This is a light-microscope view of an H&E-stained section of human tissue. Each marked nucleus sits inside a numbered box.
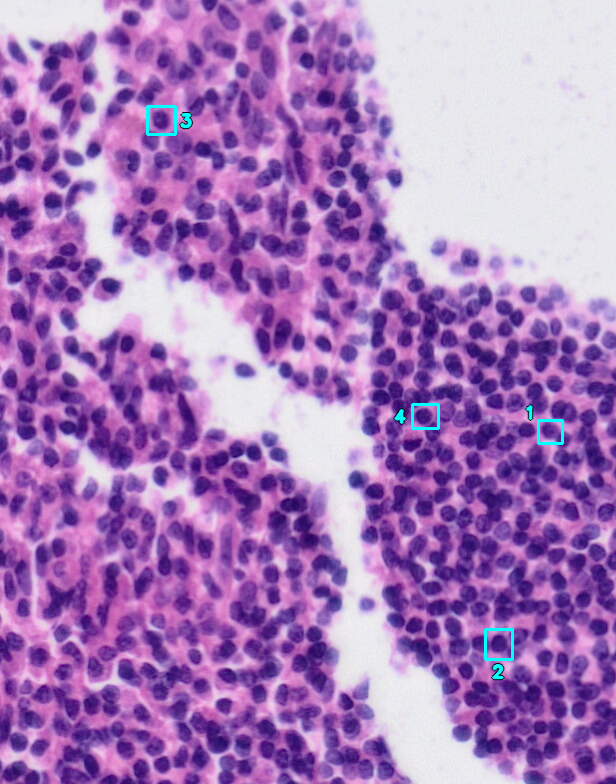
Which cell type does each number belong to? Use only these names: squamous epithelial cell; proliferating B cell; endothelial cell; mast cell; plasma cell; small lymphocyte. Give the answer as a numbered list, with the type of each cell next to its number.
1. small lymphocyte
2. small lymphocyte
3. plasma cell
4. small lymphocyte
